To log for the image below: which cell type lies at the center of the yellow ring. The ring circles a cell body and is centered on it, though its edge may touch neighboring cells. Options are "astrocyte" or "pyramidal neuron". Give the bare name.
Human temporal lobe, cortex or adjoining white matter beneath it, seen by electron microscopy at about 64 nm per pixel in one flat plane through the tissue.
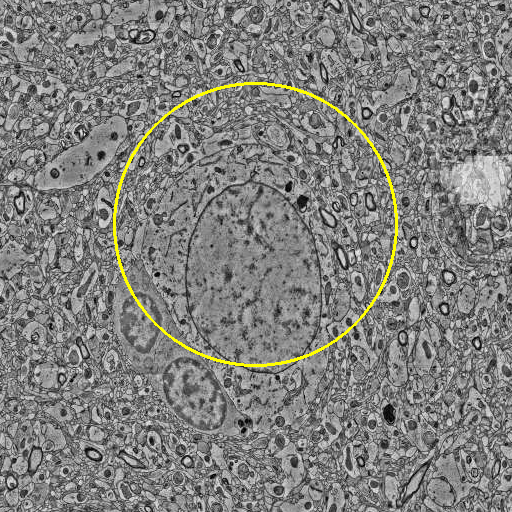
pyramidal neuron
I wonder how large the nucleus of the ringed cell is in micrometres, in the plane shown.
About 12 micrometres by about 9 micrometres in this plane.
